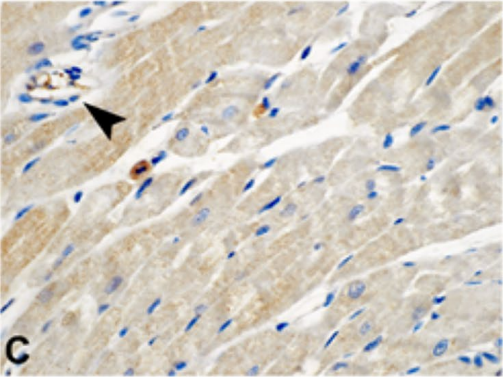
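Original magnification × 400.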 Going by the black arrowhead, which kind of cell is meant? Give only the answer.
Endothelial cells.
